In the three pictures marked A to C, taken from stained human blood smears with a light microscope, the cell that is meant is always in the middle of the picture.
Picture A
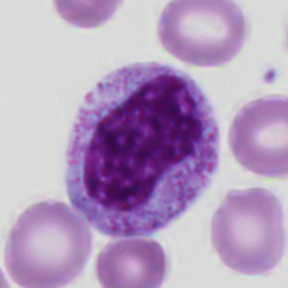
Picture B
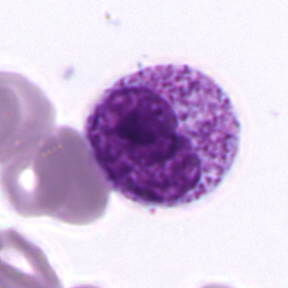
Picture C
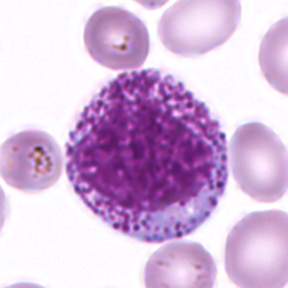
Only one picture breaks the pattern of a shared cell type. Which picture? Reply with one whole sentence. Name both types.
Picture C differs, because its cell is a myelocyte and the rest are metamyelocytes.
